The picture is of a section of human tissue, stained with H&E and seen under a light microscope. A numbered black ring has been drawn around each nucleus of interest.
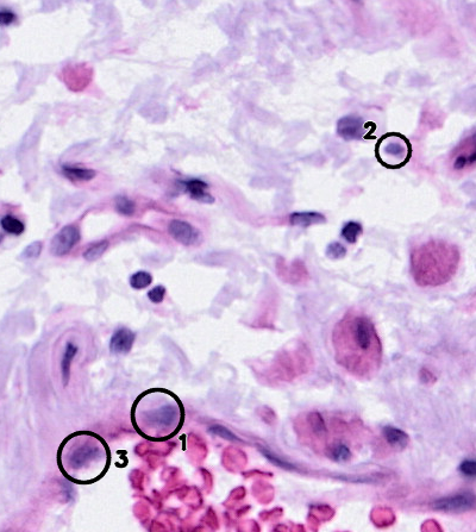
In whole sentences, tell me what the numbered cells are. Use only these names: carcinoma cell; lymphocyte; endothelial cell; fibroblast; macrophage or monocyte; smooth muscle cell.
Cell 1 is an endothelial cell, cell 2 is a lymphocyte and cell 3 is an endothelial cell.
